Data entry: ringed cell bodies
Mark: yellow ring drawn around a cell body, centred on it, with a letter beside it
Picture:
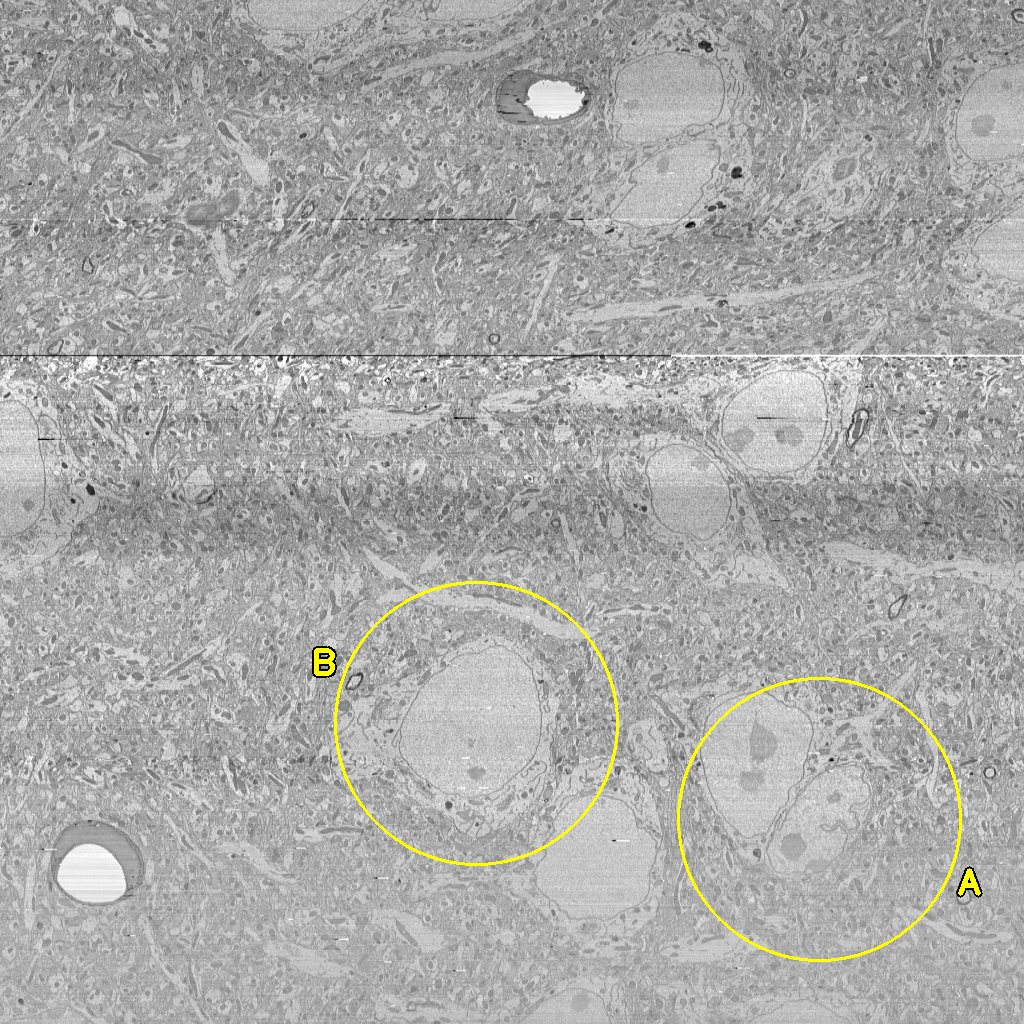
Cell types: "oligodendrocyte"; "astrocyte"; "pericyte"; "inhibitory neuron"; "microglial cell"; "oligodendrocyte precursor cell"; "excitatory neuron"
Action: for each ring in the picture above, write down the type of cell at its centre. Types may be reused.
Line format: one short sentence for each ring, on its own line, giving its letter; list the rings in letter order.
For ring A, the cell at the centre is an oligodendrocyte precursor cell.
For ring B, the cell at the centre is an excitatory neuron.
